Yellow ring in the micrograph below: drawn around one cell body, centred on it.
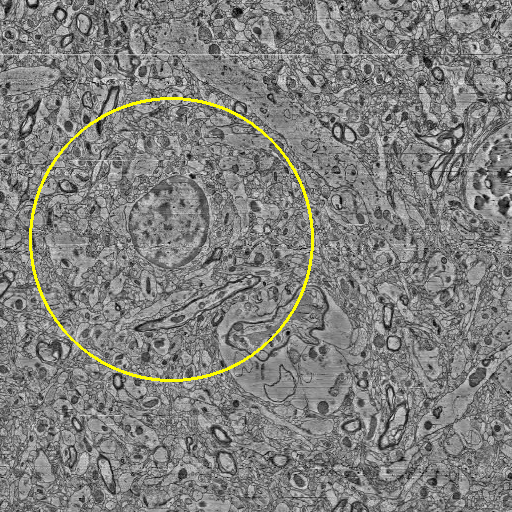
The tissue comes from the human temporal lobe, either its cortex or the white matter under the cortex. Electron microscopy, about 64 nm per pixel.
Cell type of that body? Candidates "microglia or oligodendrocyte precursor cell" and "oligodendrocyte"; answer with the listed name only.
microglia or oligodendrocyte precursor cell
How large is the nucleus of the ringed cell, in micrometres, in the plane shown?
In this plane the nucleus measures roughly 6 by 5 micrometers.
